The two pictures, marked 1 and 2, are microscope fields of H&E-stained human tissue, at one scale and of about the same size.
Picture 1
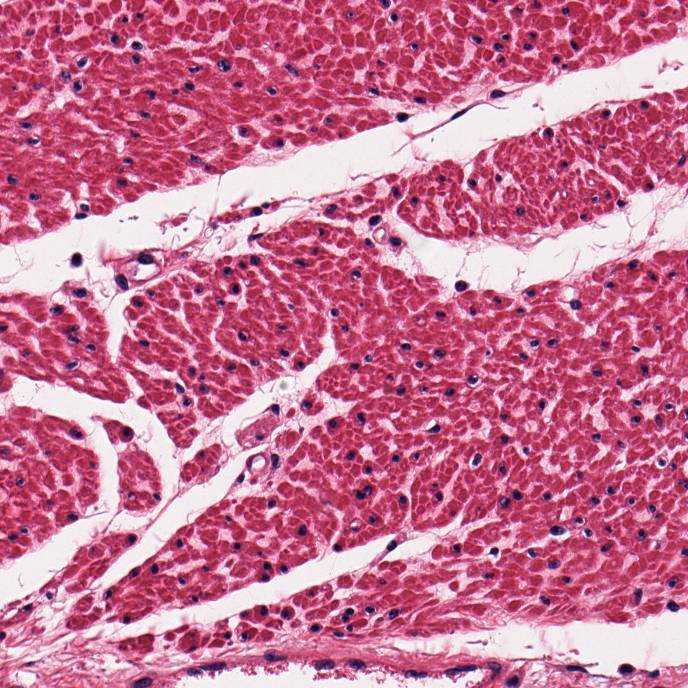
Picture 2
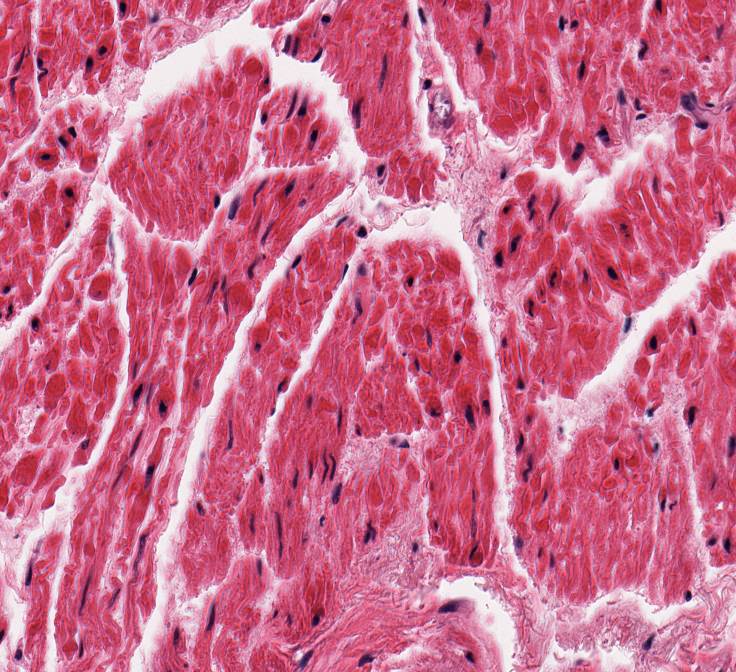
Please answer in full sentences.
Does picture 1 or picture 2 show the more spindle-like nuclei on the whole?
On the whole the nuclei of picture 2 are more drawn out than those of picture 1.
